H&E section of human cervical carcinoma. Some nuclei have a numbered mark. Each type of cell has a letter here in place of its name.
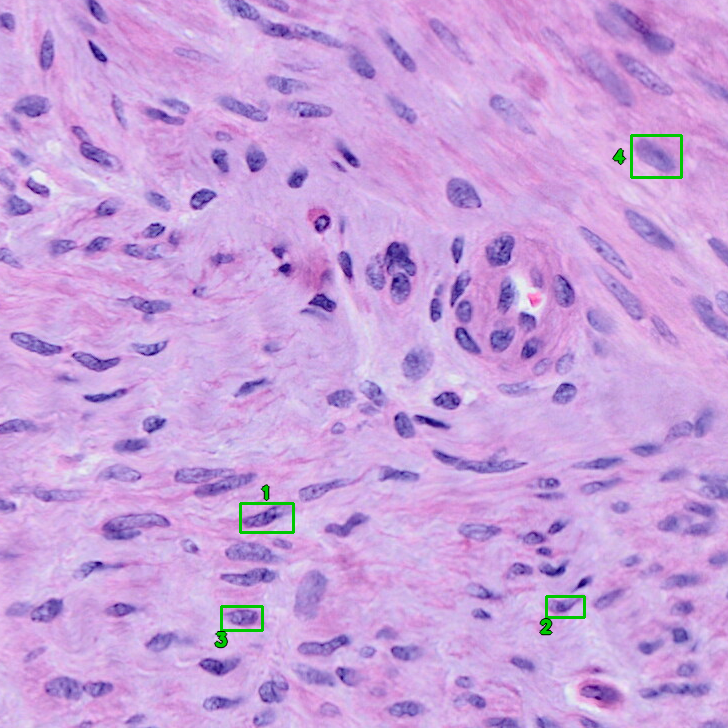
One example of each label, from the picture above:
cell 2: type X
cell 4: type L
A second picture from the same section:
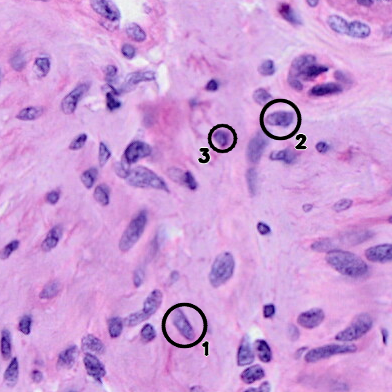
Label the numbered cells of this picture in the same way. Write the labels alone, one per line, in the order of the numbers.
type X
type L
type X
